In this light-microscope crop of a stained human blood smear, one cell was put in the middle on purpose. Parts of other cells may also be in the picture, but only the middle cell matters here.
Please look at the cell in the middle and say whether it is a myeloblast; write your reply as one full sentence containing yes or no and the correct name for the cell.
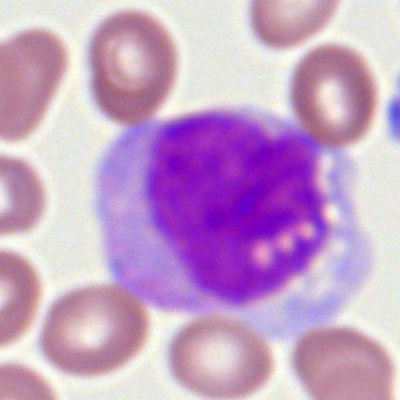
No, the central cell is identified not as a myeloblast but as a monocyte.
